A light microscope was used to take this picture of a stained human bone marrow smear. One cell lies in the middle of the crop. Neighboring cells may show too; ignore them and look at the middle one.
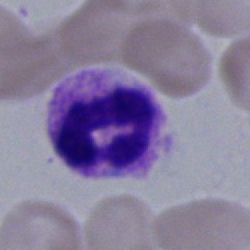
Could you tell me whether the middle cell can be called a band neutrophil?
no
